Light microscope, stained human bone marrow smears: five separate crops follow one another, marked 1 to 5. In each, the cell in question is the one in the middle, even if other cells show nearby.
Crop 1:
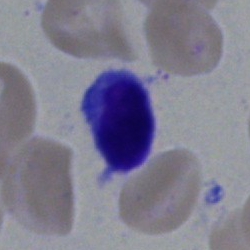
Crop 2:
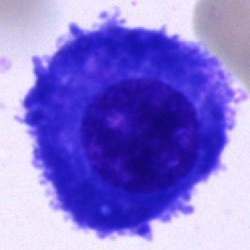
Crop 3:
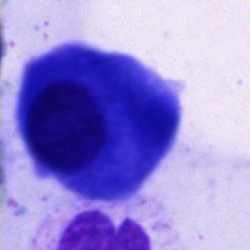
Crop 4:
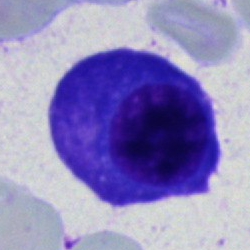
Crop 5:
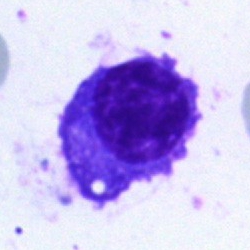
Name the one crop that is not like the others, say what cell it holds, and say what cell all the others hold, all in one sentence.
The different crop is crop 1, a lymphocyte; all the others show plasma cells.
